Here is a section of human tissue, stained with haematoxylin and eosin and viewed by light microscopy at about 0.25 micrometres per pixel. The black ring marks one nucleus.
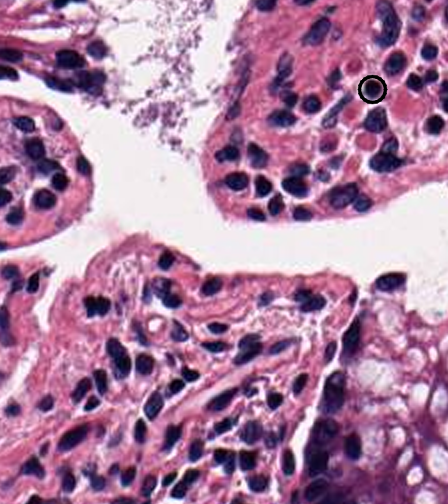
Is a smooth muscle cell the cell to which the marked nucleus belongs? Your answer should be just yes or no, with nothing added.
no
